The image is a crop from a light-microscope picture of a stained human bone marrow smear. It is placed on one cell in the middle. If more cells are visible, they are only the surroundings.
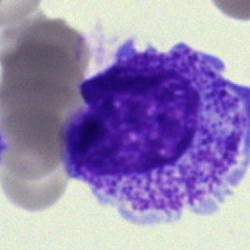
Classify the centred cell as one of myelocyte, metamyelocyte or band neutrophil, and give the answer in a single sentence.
Within this crop, a myelocyte occupies the central position.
